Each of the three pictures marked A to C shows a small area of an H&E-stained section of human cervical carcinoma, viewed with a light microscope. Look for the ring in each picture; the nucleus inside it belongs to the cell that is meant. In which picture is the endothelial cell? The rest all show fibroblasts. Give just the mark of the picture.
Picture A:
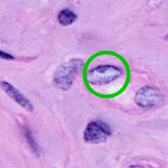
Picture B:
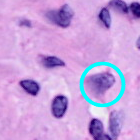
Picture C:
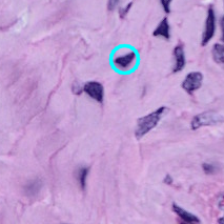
A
